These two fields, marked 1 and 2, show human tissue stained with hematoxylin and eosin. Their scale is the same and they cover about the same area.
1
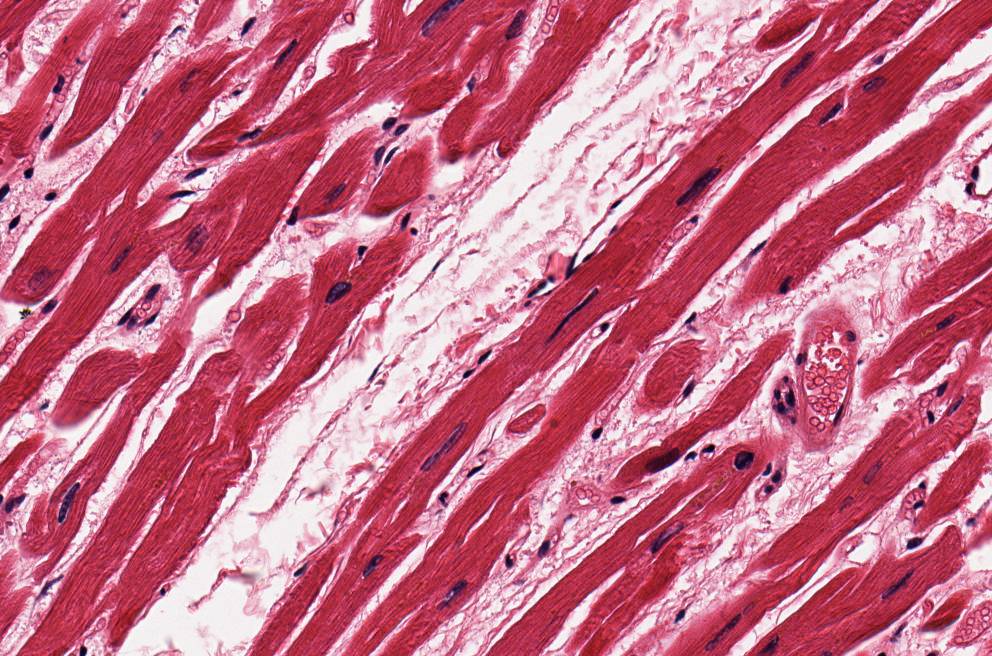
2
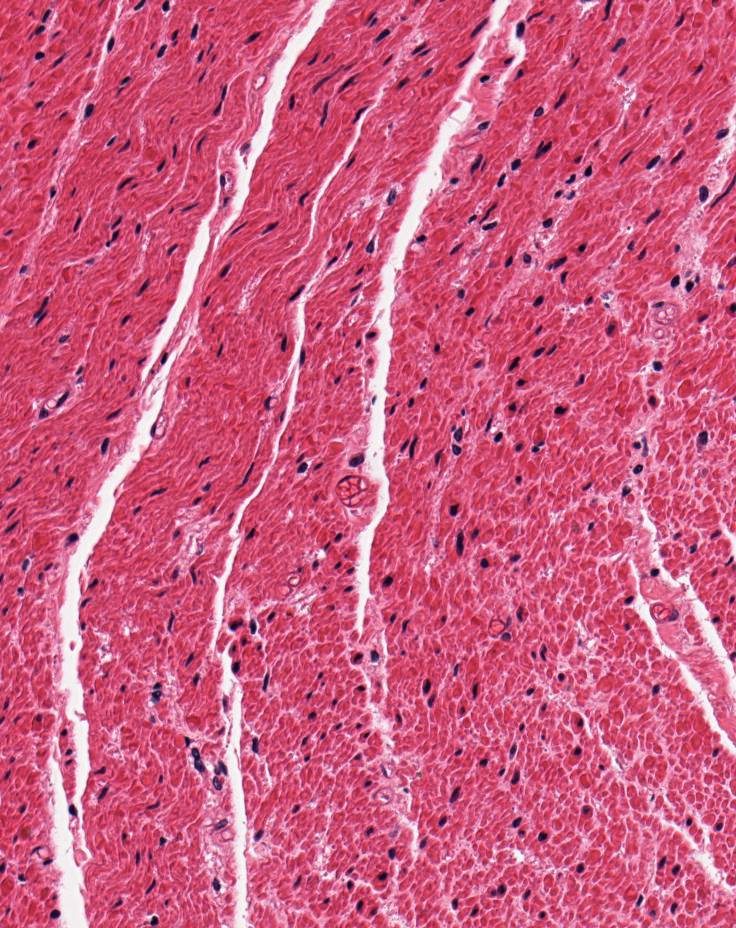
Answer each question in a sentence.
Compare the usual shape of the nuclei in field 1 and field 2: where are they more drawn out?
On the whole the nuclei of field 1 are more drawn out than those of field 2.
